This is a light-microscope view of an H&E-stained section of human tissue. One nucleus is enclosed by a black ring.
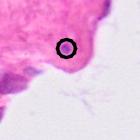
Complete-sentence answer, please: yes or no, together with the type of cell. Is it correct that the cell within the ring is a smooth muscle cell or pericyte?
Yes, the cell within the ring is a smooth muscle cell or pericyte by cell type.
